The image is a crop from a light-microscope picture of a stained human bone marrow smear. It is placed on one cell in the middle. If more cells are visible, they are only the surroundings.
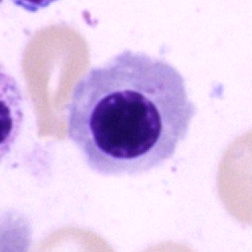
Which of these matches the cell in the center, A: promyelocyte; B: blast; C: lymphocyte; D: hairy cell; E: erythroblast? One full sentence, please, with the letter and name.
The cell at the centre, correctly named in option E, is an erythroblast.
